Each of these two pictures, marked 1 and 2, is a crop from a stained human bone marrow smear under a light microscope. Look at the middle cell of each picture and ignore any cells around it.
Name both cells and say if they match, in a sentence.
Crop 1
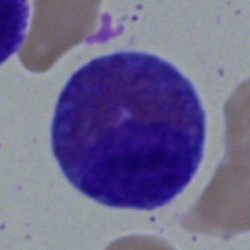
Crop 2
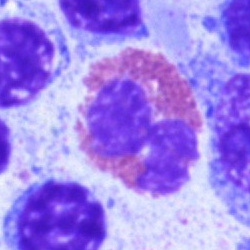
Yes, eosinophils lie at the centre of both crops.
